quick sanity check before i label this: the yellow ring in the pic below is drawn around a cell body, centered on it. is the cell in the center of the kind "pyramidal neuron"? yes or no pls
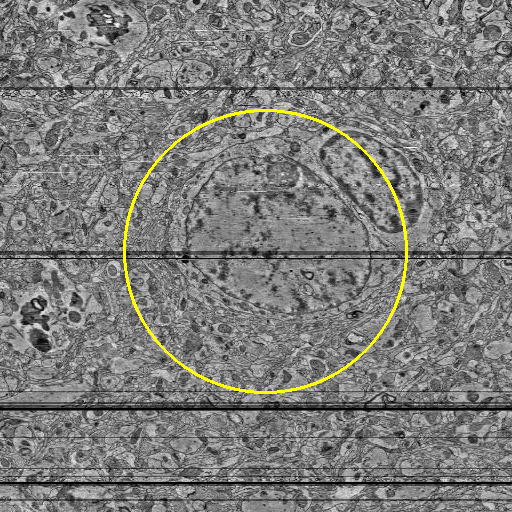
yes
